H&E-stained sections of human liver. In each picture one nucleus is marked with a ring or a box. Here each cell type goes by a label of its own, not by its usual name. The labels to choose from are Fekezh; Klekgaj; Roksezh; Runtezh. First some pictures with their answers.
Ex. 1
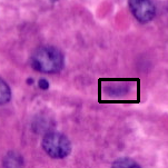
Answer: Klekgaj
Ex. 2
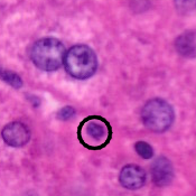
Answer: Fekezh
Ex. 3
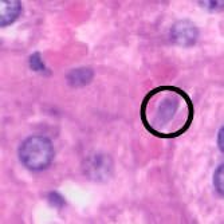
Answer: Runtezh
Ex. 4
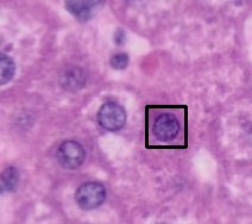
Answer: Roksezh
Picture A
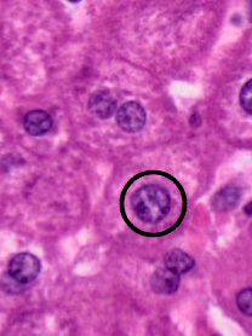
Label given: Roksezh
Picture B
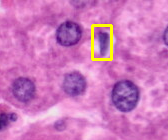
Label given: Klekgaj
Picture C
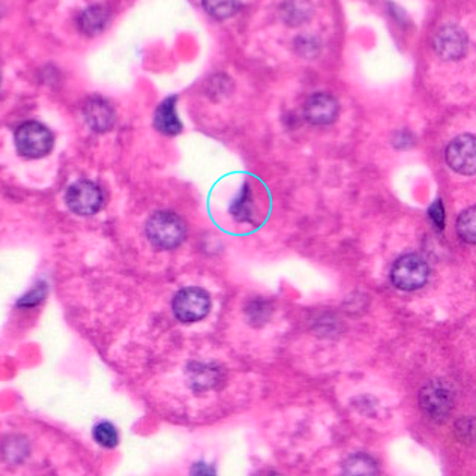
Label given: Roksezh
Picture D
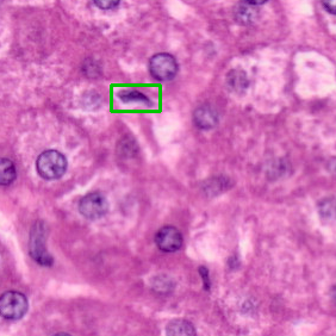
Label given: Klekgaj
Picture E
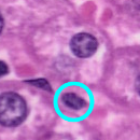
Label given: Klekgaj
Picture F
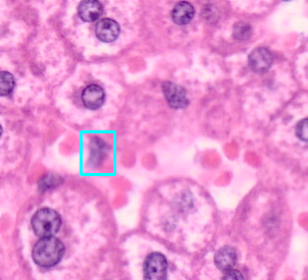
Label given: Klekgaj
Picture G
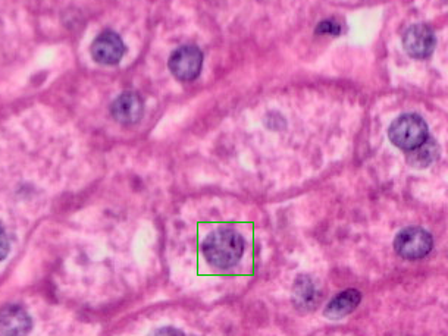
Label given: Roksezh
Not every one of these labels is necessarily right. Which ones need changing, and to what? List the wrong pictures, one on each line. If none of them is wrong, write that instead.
C: Klekgaj, not Roksezh
E: Fekezh, not Klekgaj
